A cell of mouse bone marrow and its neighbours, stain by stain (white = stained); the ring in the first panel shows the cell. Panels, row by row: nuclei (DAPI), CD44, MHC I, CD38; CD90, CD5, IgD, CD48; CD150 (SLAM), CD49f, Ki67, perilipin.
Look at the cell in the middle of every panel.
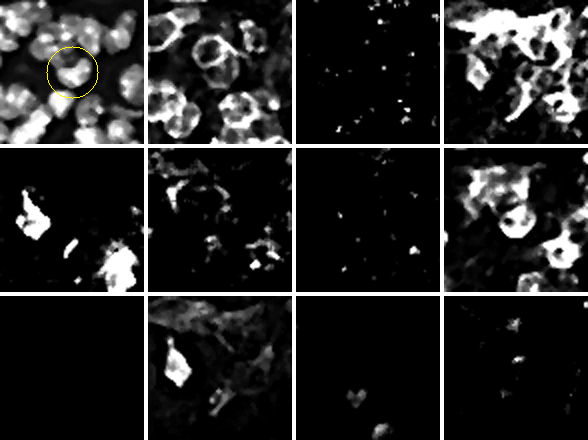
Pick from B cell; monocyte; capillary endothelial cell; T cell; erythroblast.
monocyte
